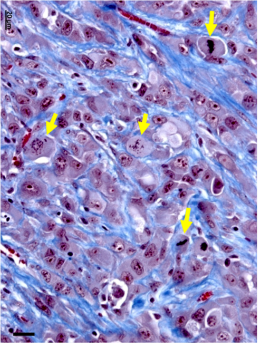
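This is a densely cellular tumor made of large, polygonal tumor cells stained pink to red with Masson trichrome. The cells have large round to oval pale nuclei, many with one or more prominent nucleoli, and moderate amounts of cytoplasm. Several cells show dark, condensed, clumped chromatin typical of mitotic figures. The cells are arranged in sheets and nests separated by thin strands of blue-stained collagen. A few red blood cells are visible in small vessels within the stroma.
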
